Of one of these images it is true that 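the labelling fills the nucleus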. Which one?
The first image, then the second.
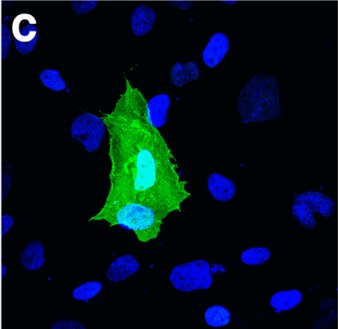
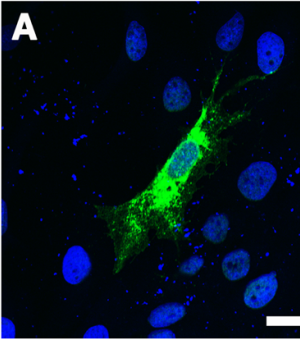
the first image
